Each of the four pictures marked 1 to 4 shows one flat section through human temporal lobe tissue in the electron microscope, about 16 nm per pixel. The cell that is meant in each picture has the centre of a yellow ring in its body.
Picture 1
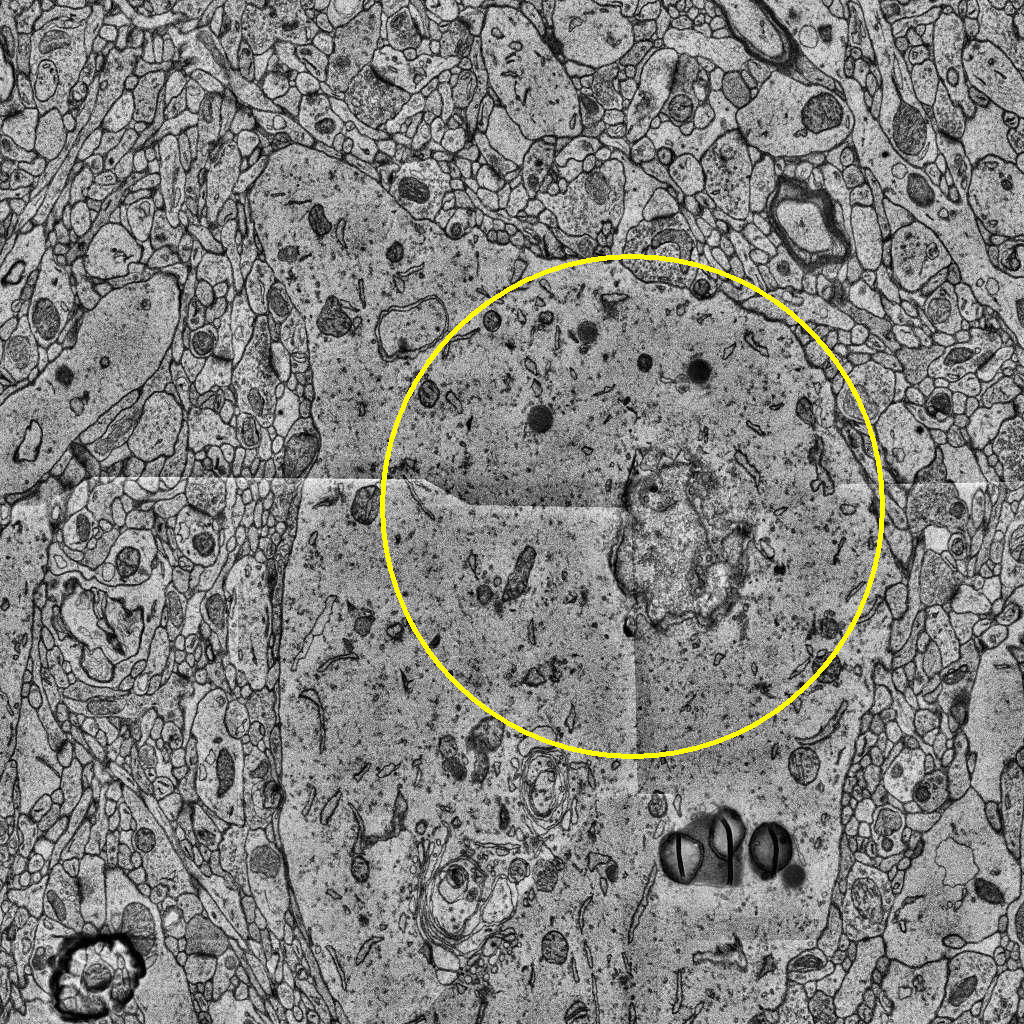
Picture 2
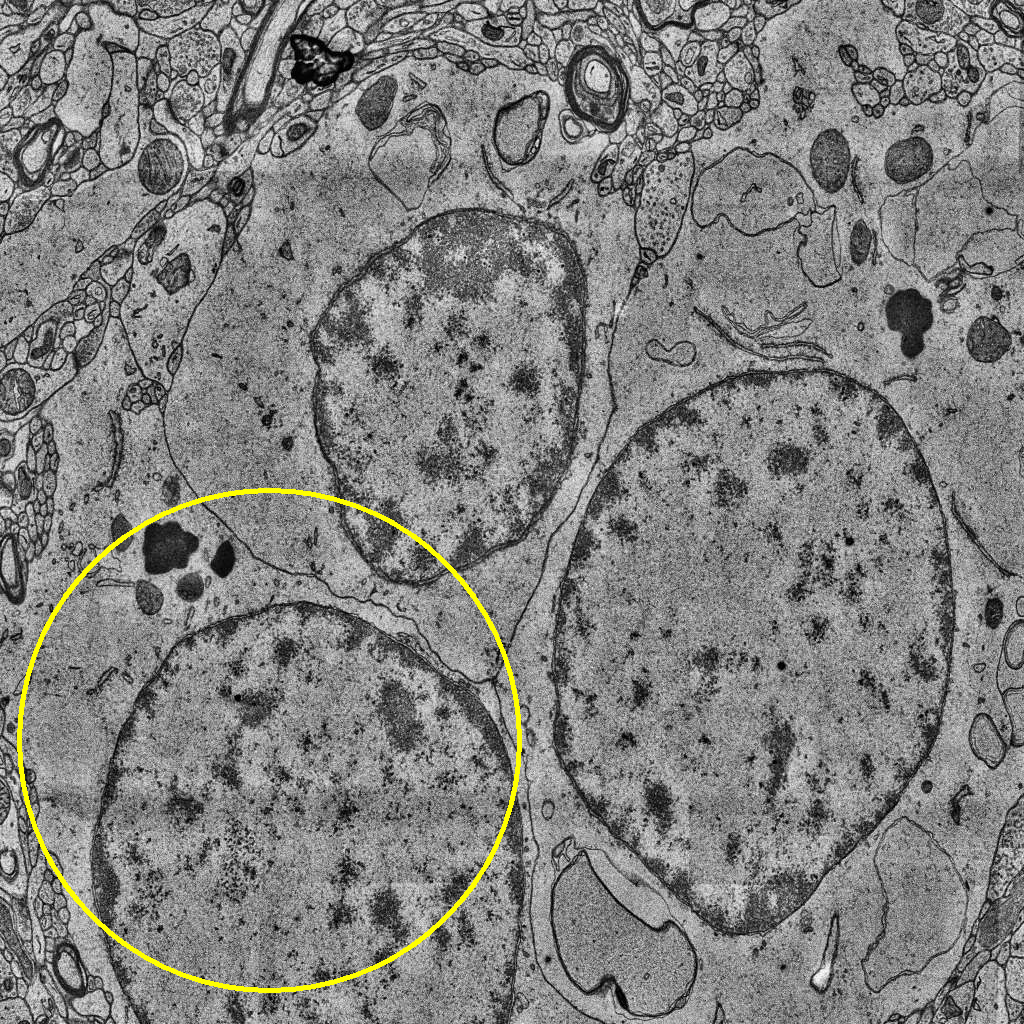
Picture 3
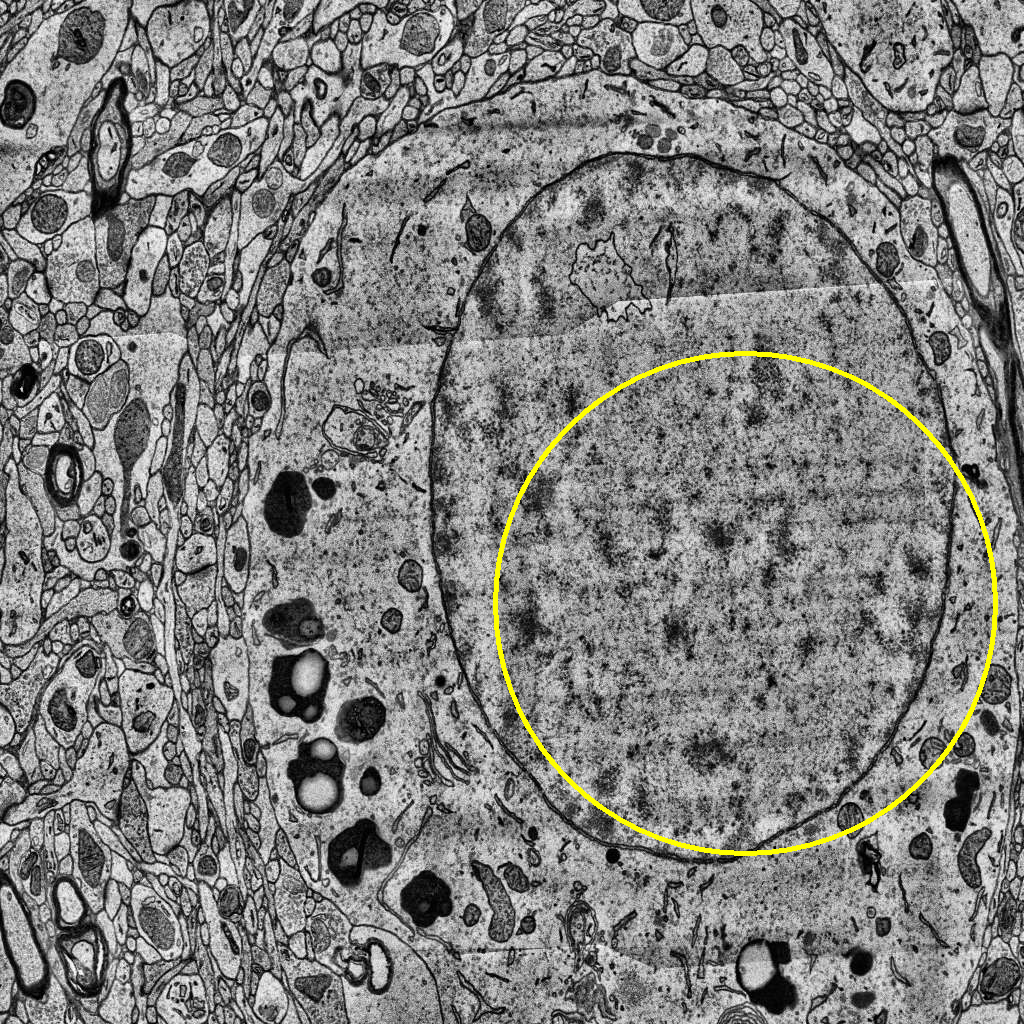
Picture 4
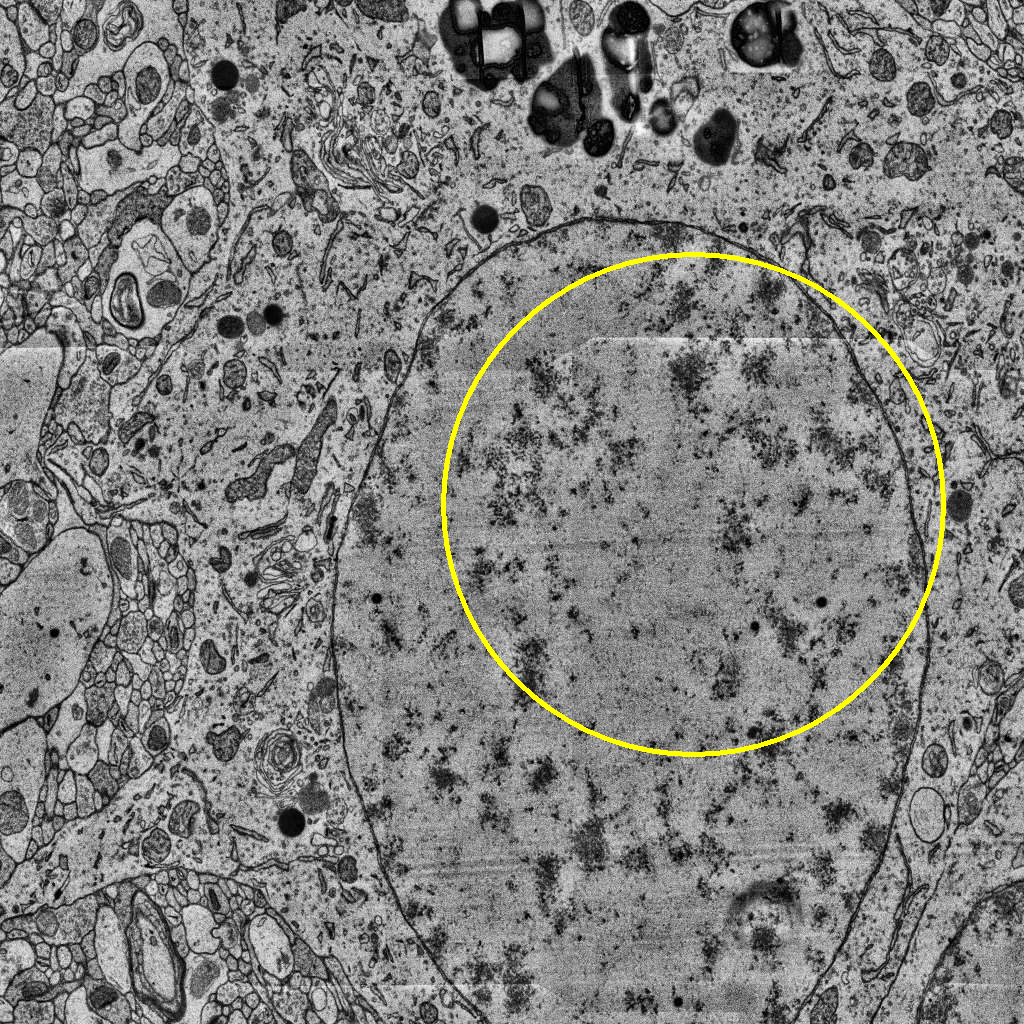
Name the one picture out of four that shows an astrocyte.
The picture with the astrocyte is 2.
